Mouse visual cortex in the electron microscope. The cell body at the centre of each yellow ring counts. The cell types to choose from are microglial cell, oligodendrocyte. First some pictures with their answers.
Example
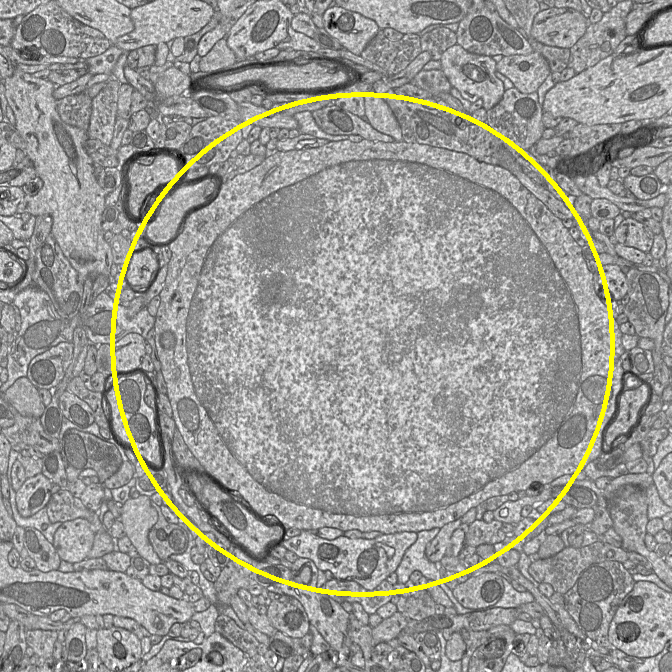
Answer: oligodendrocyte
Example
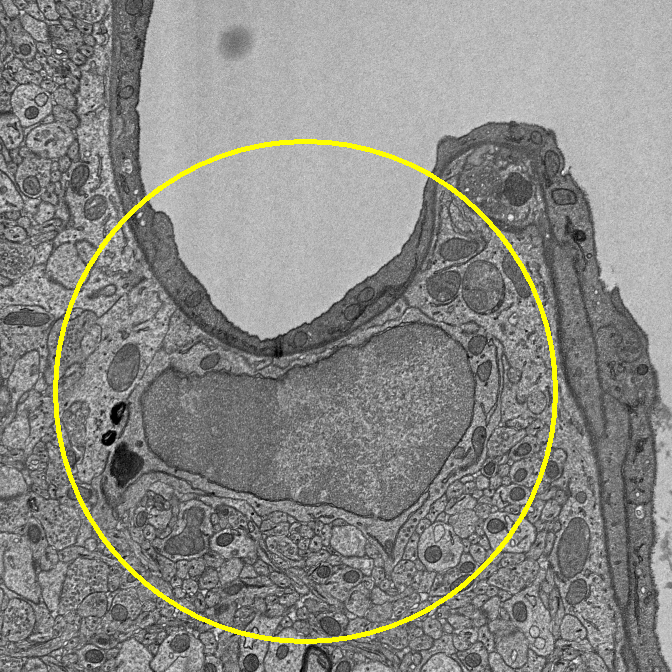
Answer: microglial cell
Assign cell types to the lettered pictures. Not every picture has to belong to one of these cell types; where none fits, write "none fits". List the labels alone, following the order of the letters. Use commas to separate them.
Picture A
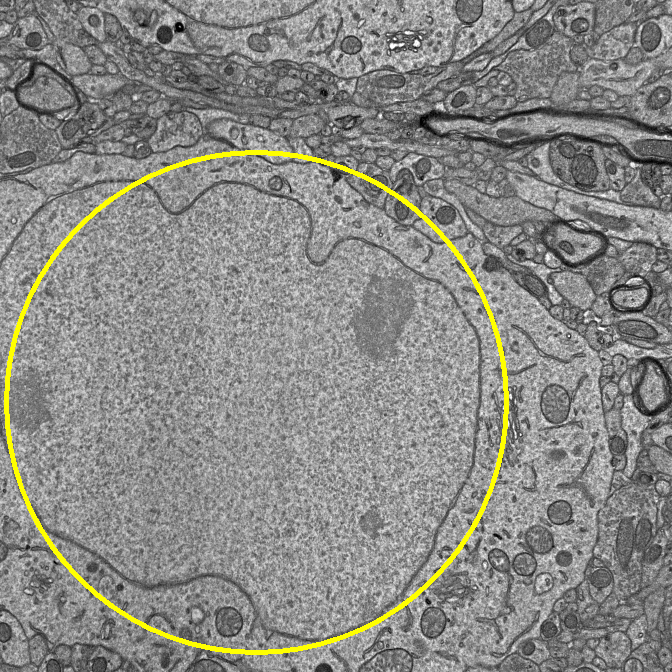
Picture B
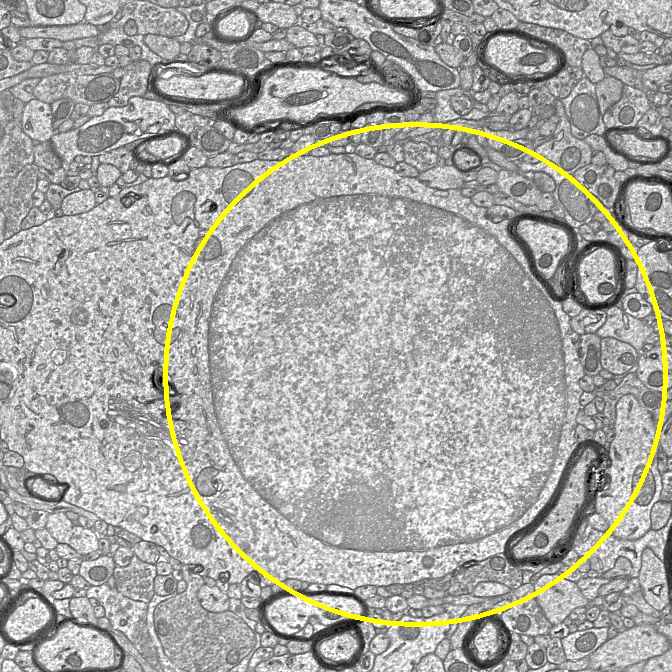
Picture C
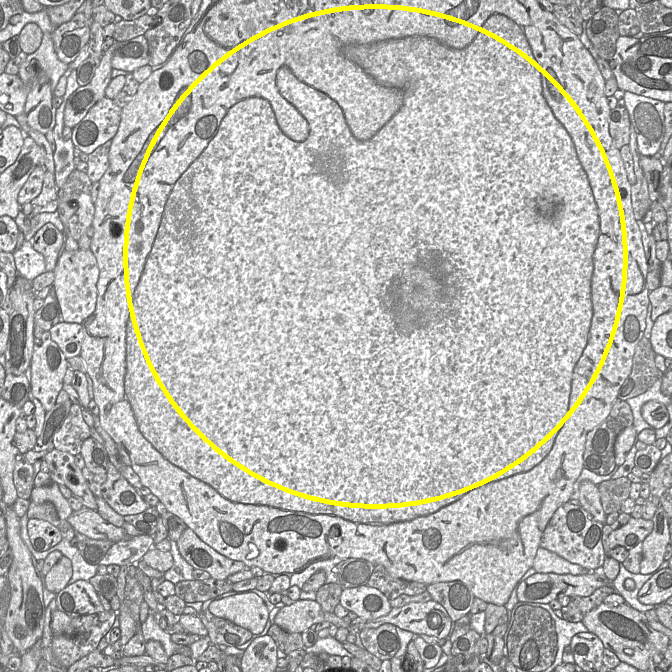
none fits, oligodendrocyte, none fits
